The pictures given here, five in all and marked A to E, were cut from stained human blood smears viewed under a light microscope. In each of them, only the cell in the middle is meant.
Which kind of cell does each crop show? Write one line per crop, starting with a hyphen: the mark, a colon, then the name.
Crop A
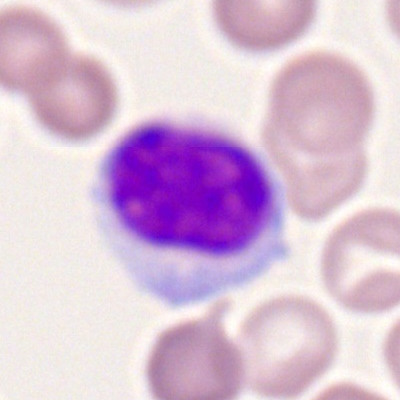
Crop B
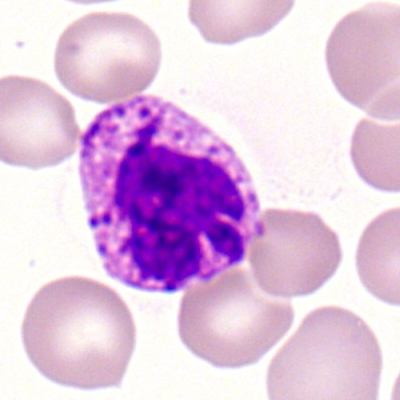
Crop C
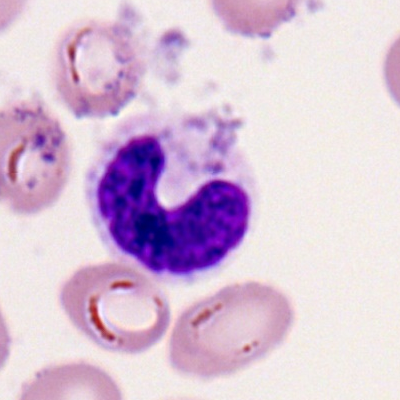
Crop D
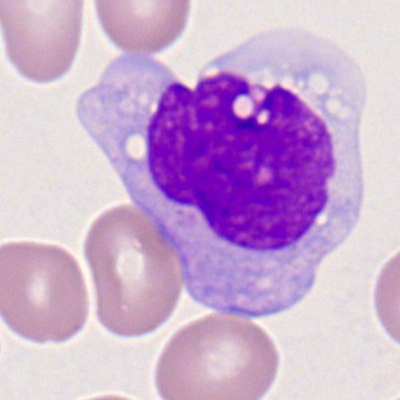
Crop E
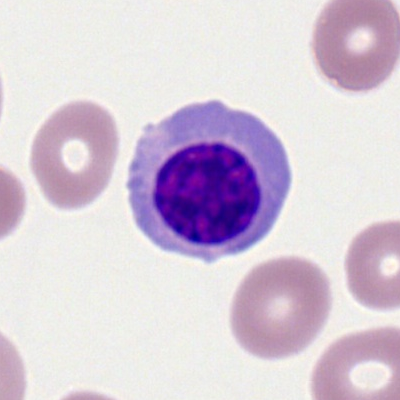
- A: lymphocyte
- B: basophil
- C: band neutrophil
- D: monocyte
- E: erythroblast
